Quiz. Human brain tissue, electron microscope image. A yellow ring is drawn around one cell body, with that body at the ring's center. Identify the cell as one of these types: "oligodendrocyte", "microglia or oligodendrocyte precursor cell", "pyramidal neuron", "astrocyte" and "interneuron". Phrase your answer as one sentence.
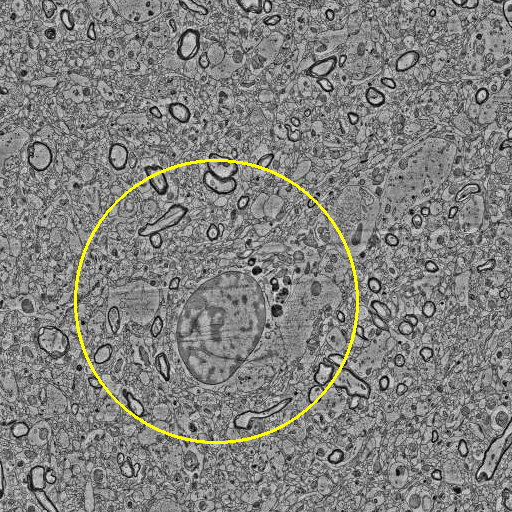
At the center of the ring sits a microglial cell or oligodendrocyte precursor cell.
